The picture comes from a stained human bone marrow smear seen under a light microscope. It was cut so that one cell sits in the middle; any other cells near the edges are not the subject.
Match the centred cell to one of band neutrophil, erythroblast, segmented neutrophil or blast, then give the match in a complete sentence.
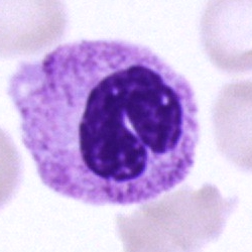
Centrally within this crop lies a segmented neutrophil.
